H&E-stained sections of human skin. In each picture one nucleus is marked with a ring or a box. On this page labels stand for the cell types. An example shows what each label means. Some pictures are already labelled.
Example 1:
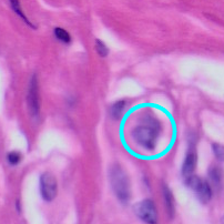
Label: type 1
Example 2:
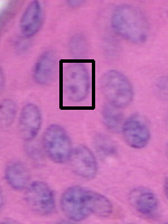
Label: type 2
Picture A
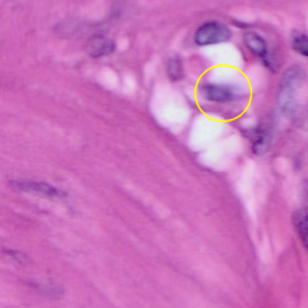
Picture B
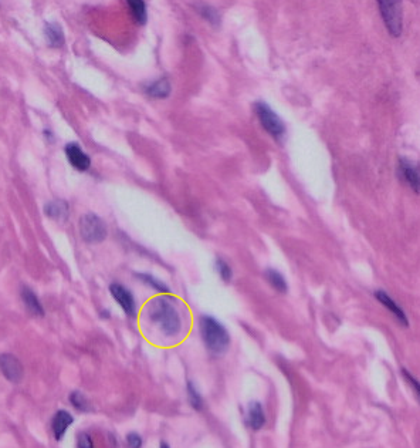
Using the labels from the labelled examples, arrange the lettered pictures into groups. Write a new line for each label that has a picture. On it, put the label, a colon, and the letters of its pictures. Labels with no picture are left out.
type 1: A, B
